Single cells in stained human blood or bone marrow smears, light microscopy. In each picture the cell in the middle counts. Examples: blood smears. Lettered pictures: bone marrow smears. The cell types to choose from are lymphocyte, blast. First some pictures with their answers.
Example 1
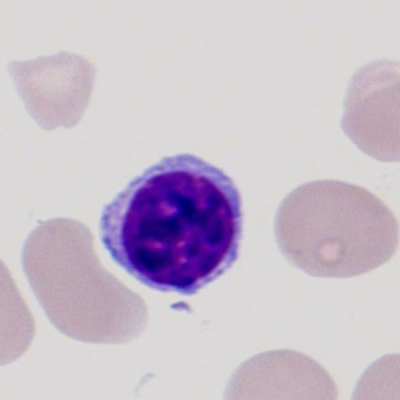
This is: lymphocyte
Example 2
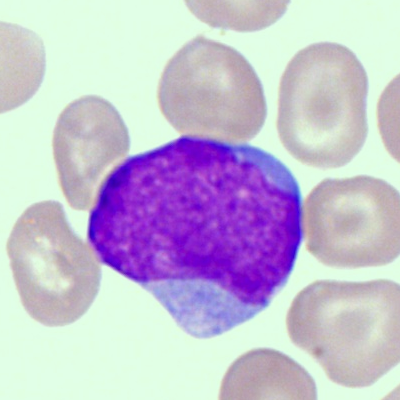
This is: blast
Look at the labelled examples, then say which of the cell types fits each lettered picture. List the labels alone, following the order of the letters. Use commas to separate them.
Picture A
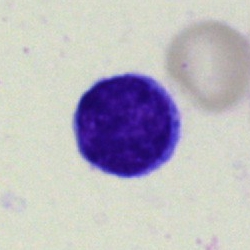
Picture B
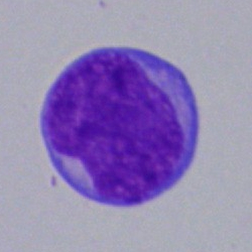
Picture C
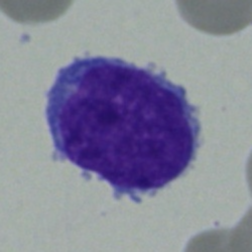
lymphocyte, blast, blast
